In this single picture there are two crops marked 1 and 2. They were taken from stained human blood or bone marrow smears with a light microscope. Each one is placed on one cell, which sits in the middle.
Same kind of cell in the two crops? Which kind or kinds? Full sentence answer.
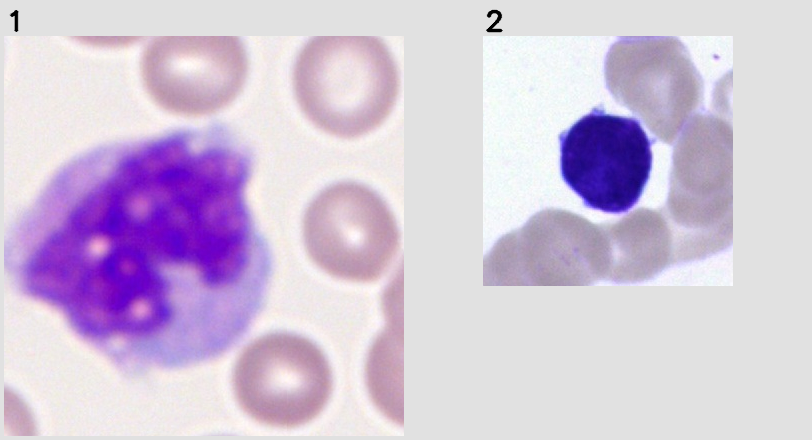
No, a monocyte and a lymphocyte are found in crop 1 and crop 2, respectively.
